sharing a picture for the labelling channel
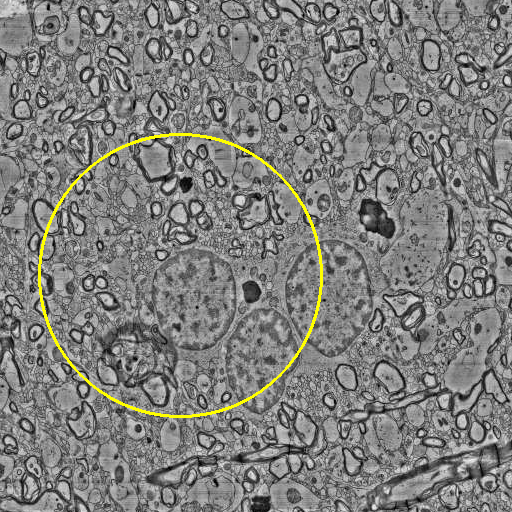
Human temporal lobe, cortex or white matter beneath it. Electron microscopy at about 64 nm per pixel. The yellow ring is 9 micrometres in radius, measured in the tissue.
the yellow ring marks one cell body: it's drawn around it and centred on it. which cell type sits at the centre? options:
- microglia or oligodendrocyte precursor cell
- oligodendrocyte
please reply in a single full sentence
In the picture, the cell at the ring's centre is an oligodendrocyte, going by the list.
